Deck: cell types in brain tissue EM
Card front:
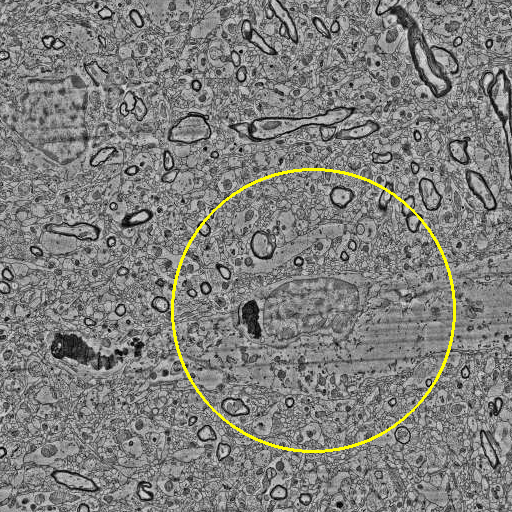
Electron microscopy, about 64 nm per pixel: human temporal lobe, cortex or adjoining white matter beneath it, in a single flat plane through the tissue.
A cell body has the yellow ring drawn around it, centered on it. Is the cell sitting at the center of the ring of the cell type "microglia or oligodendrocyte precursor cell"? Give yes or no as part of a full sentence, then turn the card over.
No, on this card the yellow ring is centered on a cell of a different type.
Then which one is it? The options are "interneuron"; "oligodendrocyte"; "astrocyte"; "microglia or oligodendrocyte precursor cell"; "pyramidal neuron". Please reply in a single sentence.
The ring holds an oligodendrocyte at its centre.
